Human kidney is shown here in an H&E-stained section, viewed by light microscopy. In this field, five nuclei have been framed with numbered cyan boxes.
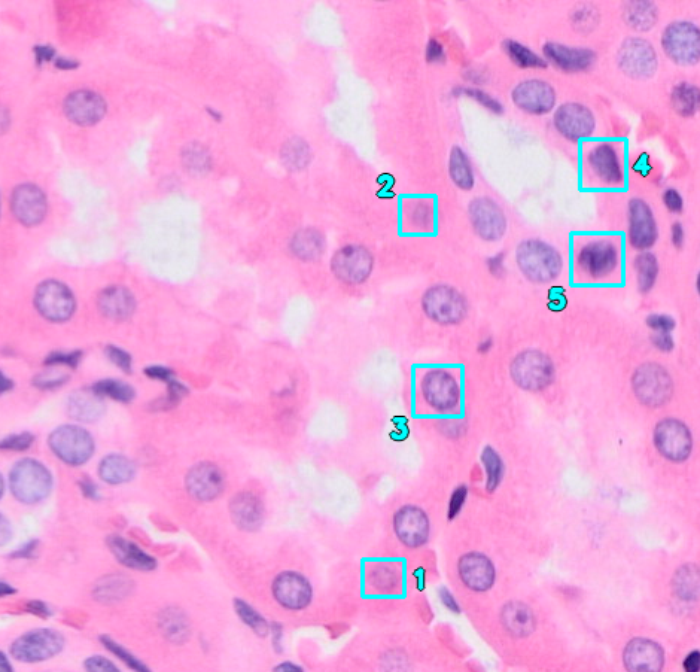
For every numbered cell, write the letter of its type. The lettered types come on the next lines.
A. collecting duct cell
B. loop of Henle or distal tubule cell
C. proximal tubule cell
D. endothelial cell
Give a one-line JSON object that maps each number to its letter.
{"1": "C", "2": "C", "3": "C", "4": "A", "5": "A"}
